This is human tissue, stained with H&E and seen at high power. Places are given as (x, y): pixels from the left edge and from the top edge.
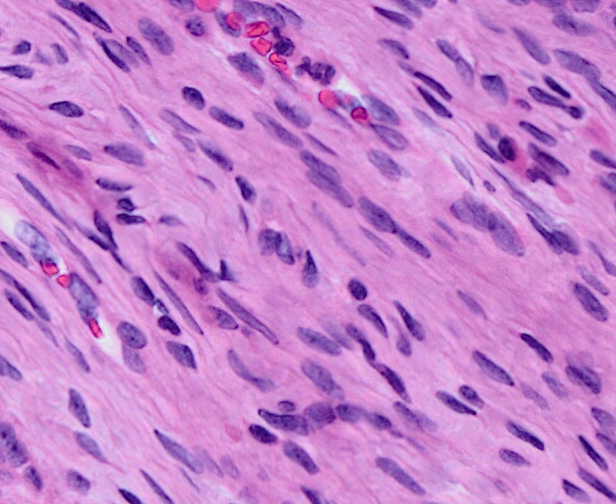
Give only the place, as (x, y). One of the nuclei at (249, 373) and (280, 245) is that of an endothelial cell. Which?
(280, 245)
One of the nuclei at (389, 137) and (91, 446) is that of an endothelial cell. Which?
(389, 137)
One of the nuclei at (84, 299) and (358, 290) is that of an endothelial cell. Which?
(84, 299)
